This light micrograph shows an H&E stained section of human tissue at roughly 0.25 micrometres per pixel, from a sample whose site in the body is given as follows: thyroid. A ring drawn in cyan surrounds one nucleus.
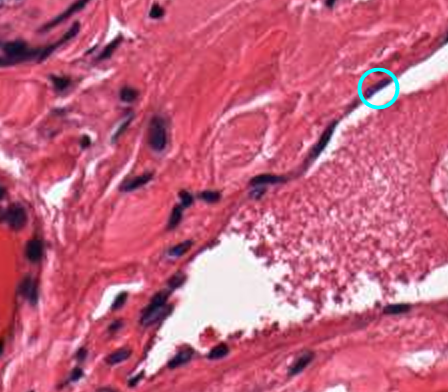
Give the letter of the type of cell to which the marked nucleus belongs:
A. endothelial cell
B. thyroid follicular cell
A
